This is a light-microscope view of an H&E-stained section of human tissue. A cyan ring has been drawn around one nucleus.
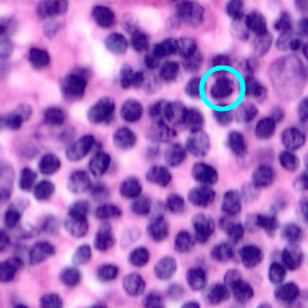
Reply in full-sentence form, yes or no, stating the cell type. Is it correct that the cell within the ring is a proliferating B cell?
No, the cell within the ring represents a small lymphocyte and does not represent a proliferating B cell.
